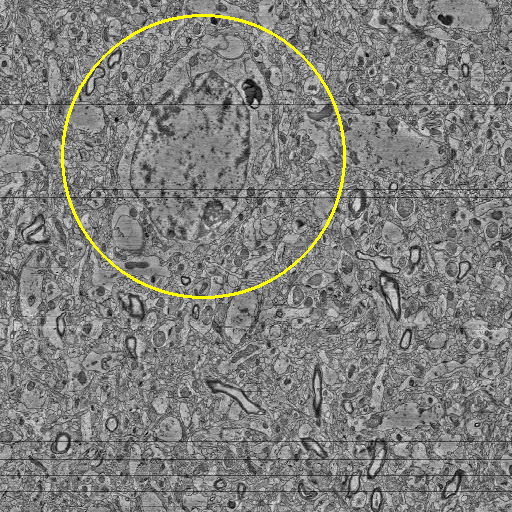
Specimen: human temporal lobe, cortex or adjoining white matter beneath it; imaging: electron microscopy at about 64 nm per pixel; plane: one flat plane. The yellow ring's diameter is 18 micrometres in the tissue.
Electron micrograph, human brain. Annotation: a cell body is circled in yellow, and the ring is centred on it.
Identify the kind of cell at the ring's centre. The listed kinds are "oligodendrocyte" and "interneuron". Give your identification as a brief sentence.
The circled cell body is that of an interneuron.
